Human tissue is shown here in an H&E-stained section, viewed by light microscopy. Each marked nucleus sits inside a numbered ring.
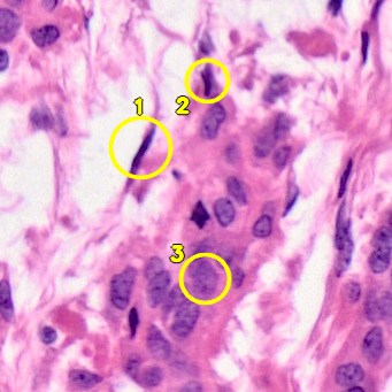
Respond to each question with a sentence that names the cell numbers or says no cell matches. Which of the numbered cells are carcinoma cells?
Only number 3 of the marked cells is a carcinoma cell.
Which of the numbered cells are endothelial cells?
No numbered nucleus belongs to one of the endothelial cells.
